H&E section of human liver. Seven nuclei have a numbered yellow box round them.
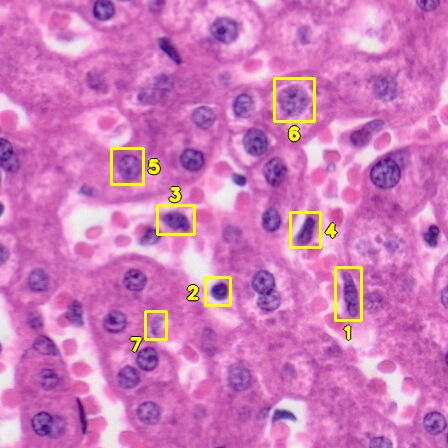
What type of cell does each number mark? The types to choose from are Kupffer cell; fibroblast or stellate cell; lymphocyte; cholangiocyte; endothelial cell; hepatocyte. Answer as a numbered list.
1. Kupffer cell
2. lymphocyte
3. Kupffer cell
4. Kupffer cell
5. hepatocyte
6. hepatocyte
7. endothelial cell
